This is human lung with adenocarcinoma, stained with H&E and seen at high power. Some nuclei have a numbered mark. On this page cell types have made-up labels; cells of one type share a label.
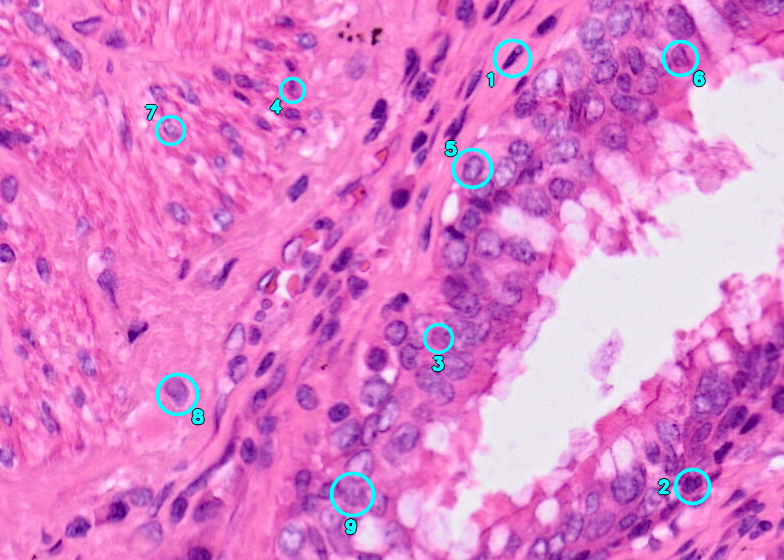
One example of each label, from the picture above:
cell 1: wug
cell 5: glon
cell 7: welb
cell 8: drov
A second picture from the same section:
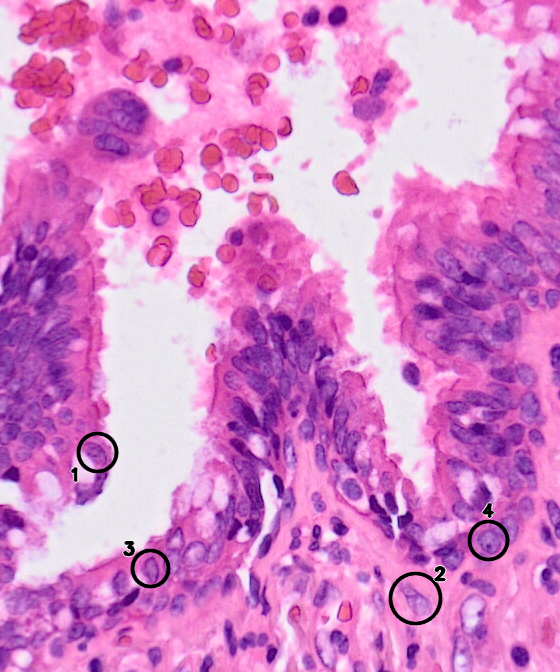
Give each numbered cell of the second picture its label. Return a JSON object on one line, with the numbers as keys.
{"1": "glon", "2": "drov", "3": "glon", "4": "glon"}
